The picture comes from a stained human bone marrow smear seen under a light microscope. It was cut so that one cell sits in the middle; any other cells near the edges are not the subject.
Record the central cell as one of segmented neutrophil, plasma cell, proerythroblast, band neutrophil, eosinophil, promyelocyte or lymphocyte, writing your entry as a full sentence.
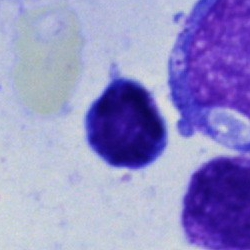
Positioned in the middle of the crop is a lymphocyte.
